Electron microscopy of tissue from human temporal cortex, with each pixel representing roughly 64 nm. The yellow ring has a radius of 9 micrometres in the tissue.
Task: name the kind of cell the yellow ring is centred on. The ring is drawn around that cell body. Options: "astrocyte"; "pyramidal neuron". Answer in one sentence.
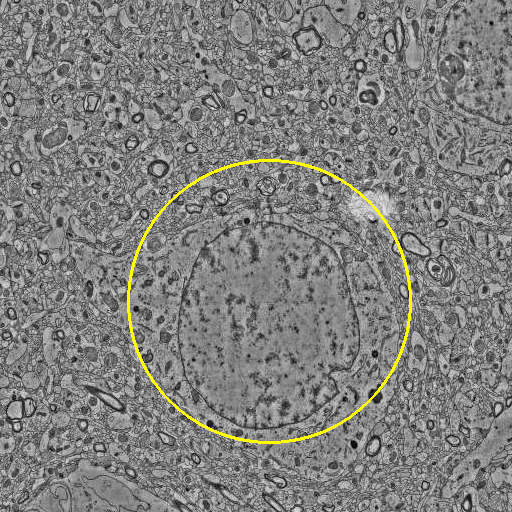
This cell body belongs to a pyramidal neuron.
